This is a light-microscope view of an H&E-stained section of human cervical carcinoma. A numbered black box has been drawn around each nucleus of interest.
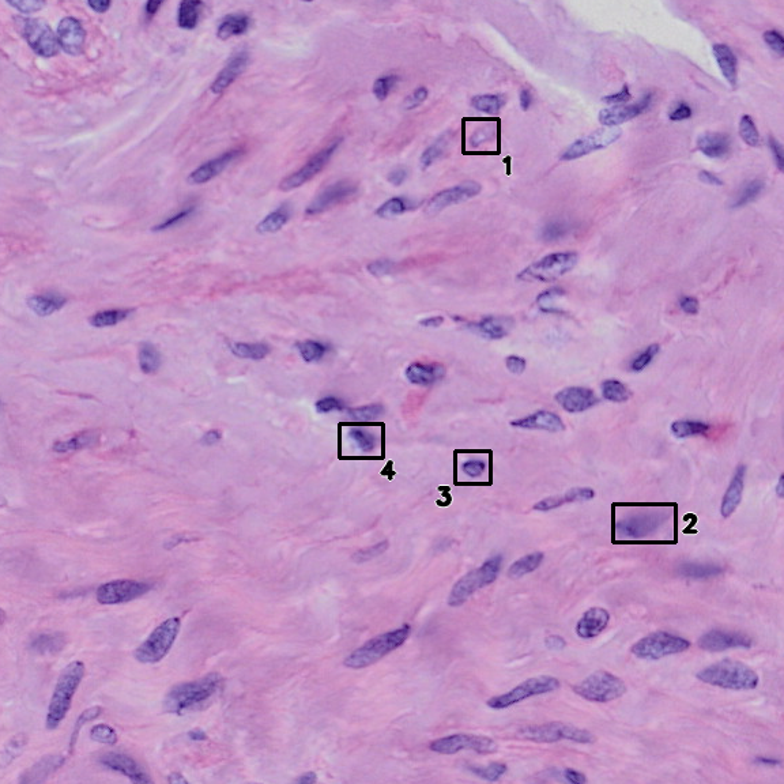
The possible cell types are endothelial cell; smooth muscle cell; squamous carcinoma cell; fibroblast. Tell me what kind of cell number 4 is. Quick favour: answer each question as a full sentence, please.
The cell pointed out by number 4 is a fibroblast.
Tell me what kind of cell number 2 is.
Number 2 is placed on a fibroblast here.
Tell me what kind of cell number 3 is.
The cell numbered 3 has been identified as a fibroblast.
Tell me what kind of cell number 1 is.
It is as a smooth muscle cell that the cell numbered 1 is identified.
